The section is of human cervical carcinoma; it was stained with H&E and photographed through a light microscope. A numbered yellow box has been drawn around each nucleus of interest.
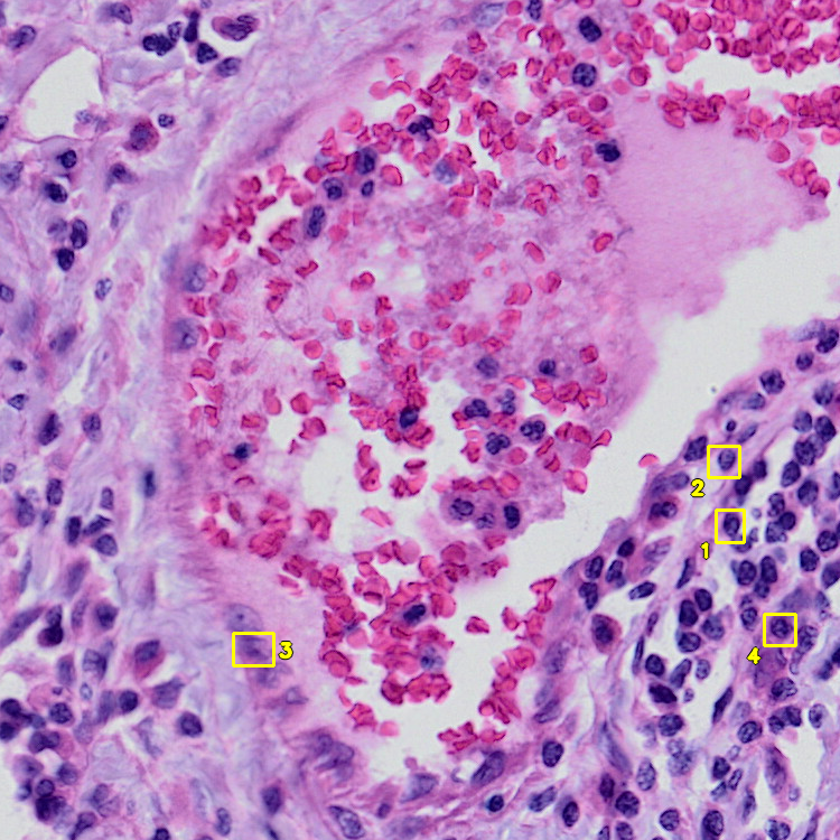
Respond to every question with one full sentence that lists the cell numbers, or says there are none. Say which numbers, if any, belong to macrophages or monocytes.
The tally for macrophages or monocytes among the numbered cells is zero.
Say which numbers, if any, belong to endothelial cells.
Only the cell numbered 3 is an endothelial cell, and the others are something else.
